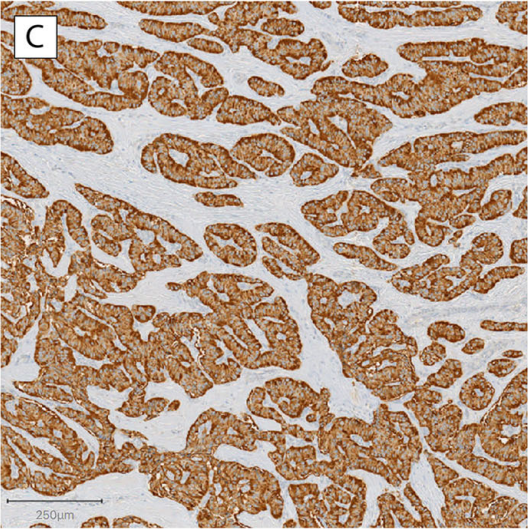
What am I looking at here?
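The cords contain small gland-like or rosette-like spaces. The tumor cells have brown-stained cytoplasm with lighter nuclei, while the pale fibrous stroma between the cords is unstained.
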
